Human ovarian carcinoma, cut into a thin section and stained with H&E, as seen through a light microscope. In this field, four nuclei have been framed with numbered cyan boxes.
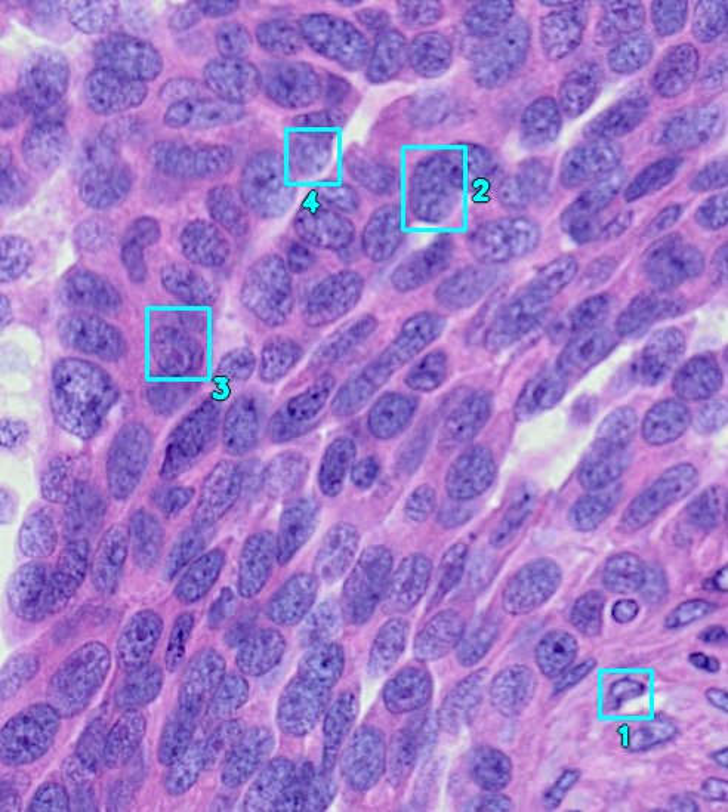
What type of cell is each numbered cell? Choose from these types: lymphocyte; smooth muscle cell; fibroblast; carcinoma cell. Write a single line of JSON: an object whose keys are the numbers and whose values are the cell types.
{"1": "fibroblast", "2": "carcinoma cell", "3": "carcinoma cell", "4": "carcinoma cell"}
